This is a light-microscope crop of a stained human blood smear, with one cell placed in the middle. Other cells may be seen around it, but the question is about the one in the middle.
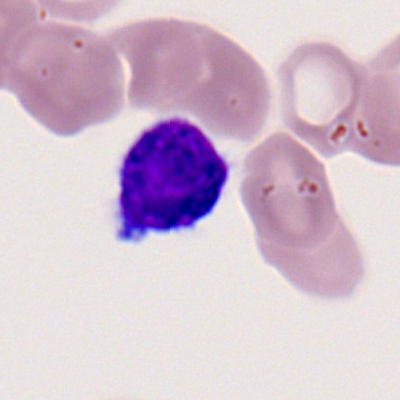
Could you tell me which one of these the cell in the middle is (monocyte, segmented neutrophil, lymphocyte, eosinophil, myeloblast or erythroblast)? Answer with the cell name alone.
lymphocyte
